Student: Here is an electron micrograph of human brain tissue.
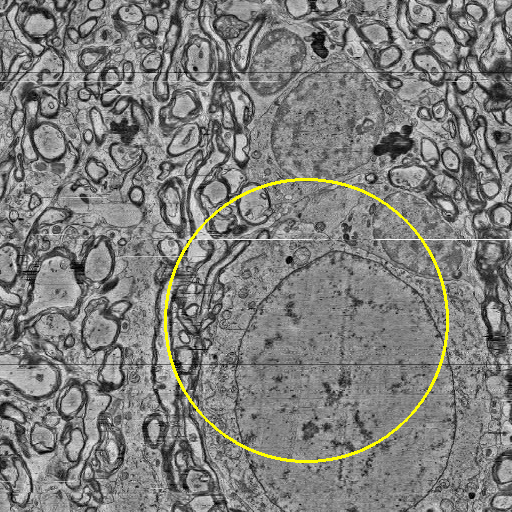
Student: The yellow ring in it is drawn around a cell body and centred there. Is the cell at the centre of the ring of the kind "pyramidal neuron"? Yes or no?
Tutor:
yes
